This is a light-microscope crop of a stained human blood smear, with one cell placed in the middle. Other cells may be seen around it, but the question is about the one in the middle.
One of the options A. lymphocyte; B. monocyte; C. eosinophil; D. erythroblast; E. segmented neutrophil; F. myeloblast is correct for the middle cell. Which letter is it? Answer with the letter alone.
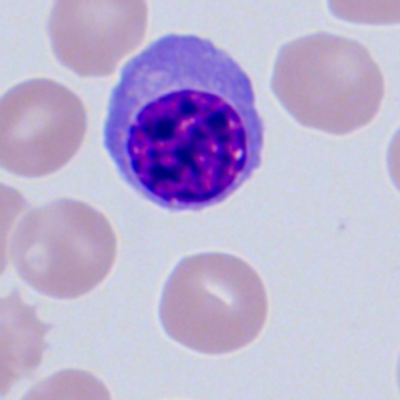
D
